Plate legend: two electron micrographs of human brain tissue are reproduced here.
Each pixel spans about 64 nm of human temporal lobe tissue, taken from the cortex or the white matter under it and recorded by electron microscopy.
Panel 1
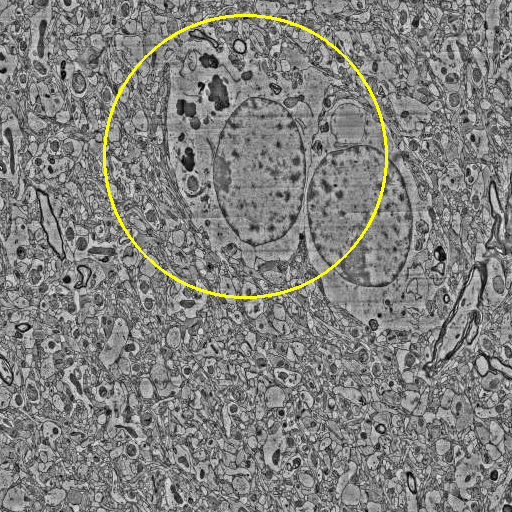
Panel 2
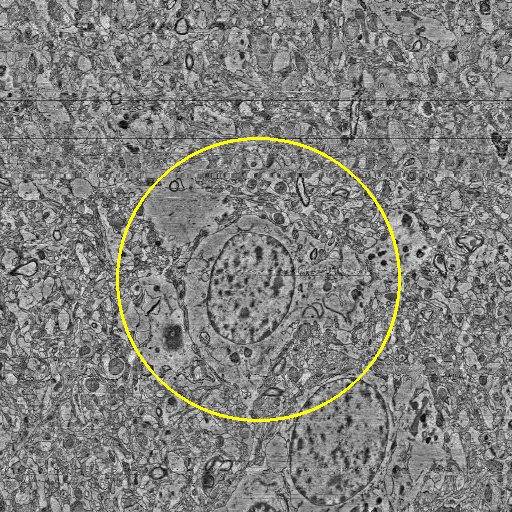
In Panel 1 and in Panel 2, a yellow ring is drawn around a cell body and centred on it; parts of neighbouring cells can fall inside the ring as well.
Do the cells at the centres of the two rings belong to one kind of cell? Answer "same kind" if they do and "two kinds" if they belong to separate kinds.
same kind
